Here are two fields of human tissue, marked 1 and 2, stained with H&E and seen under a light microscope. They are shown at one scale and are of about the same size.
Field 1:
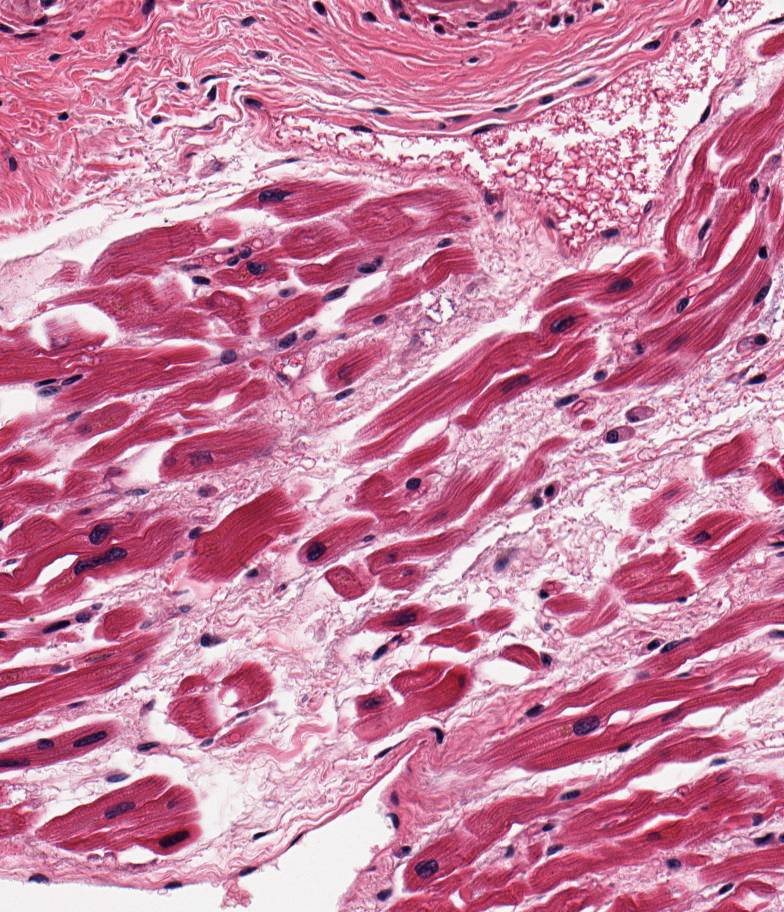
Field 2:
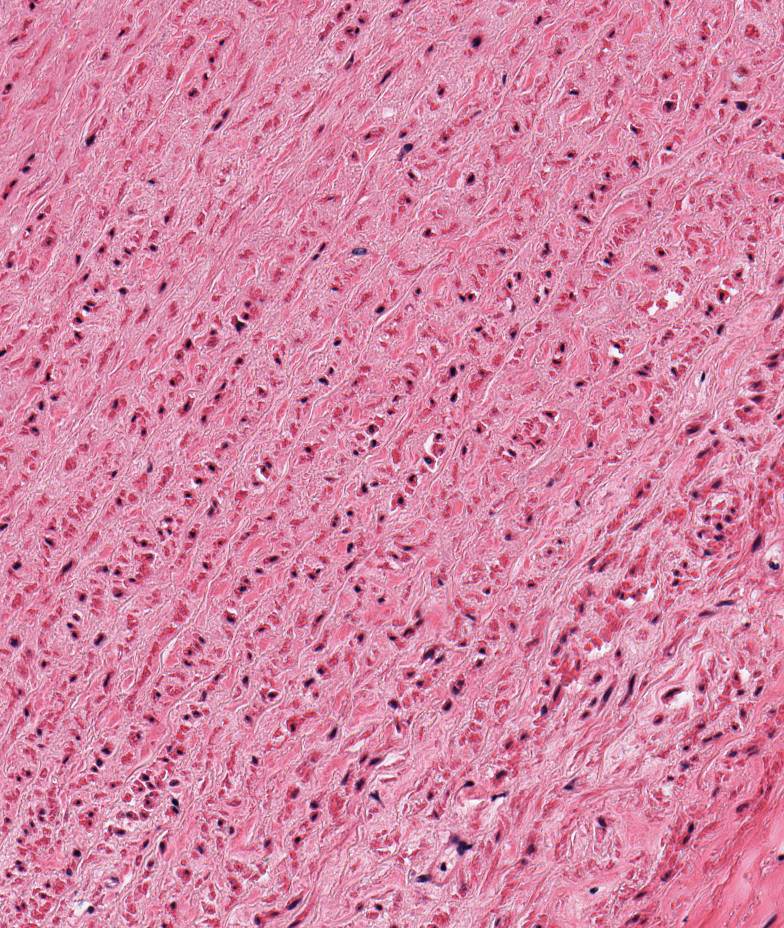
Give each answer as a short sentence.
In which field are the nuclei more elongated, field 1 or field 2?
On the whole the nuclei of field 1 are more drawn out than those of field 2.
